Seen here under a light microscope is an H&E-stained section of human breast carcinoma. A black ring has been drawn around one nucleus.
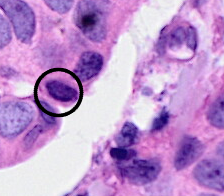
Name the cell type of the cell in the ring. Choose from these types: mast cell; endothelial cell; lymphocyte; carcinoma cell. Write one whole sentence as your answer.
It is a carcinoma cell that the cell in the ring represents.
